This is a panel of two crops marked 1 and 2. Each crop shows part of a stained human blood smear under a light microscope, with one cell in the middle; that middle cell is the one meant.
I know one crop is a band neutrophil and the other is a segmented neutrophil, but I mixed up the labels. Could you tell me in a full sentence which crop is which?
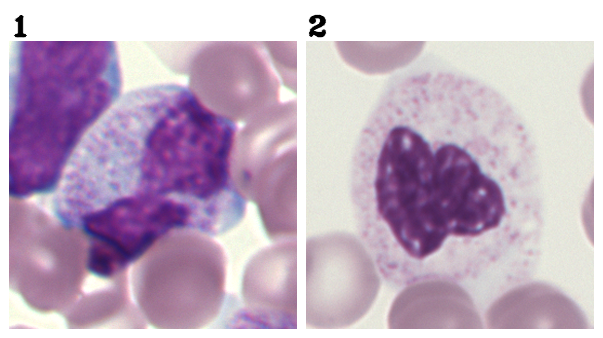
Crop 1 is identified as a band neutrophil, and crop 2 is identified as a segmented neutrophil.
